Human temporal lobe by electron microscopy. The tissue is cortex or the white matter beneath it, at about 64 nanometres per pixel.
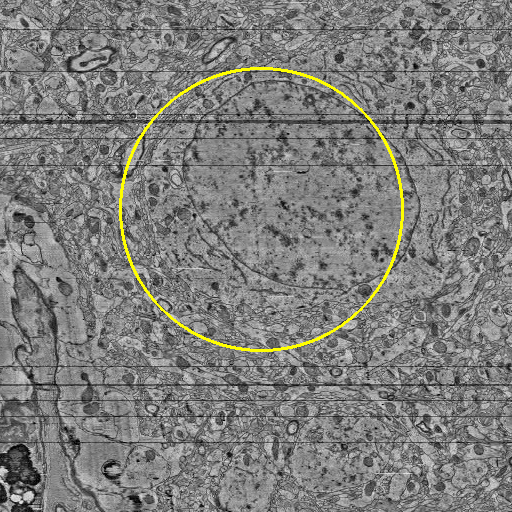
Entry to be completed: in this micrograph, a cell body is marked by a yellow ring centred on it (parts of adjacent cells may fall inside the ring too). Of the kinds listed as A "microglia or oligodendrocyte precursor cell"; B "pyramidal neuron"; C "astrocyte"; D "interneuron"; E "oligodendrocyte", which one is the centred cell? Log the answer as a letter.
B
